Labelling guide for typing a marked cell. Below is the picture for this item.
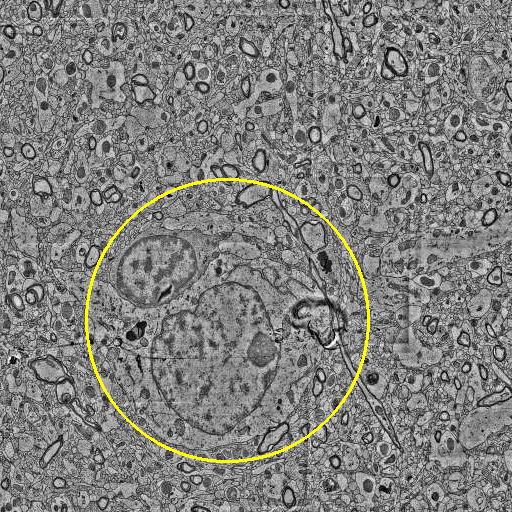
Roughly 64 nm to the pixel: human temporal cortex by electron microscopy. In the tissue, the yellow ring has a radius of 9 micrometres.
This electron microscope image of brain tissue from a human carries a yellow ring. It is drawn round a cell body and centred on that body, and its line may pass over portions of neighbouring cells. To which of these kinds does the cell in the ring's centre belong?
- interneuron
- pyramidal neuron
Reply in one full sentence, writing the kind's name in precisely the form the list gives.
Here we have a pyramidal neuron at the centre of the yellow ring in the picture.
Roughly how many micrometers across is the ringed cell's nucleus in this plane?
Roughly 10 by 8 micrometres in this plane, for the nucleus of the ringed cell.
